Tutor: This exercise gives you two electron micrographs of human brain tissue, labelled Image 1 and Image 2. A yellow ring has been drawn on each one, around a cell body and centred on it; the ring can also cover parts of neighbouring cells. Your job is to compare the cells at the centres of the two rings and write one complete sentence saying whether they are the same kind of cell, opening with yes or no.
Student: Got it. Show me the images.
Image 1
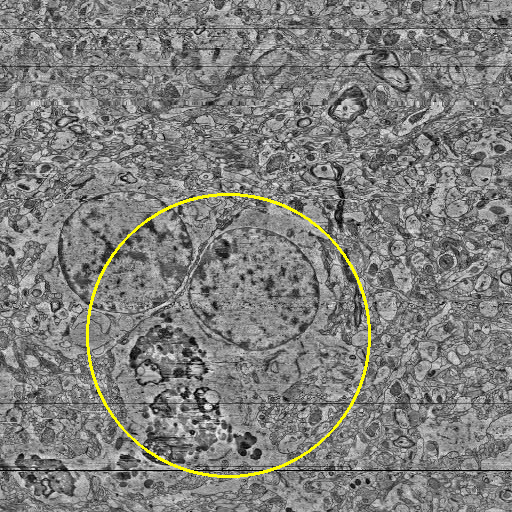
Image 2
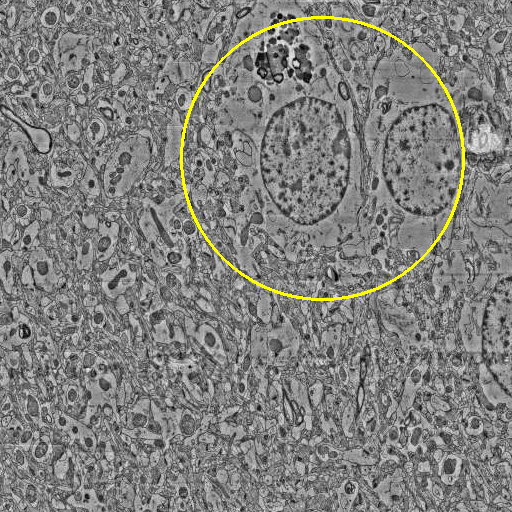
Yes, the two cells belong to the same kind.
